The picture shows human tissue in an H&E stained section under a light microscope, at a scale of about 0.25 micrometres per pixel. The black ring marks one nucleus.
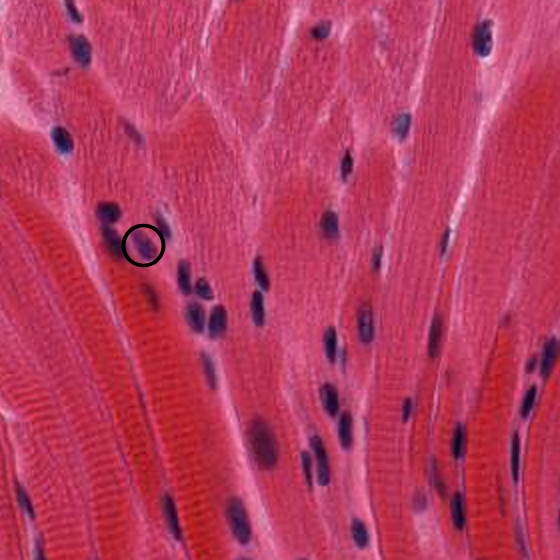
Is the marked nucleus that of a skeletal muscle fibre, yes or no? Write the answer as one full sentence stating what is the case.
Yes, here the marked nucleus belongs to a skeletal muscle fibre.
